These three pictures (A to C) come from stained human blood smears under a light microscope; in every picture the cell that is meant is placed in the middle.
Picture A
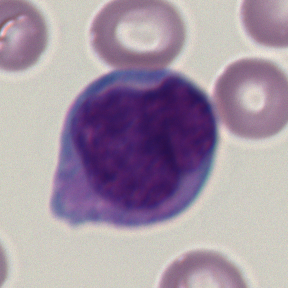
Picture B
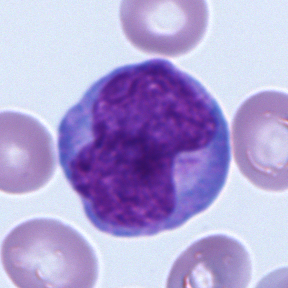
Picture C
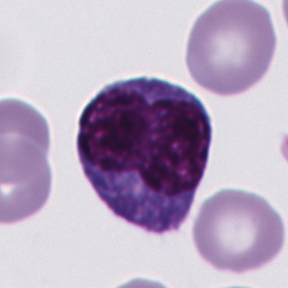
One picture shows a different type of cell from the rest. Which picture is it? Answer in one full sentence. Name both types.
Unlike the rest, which show atypical promyelocytes, picture C shows a myeloblast.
